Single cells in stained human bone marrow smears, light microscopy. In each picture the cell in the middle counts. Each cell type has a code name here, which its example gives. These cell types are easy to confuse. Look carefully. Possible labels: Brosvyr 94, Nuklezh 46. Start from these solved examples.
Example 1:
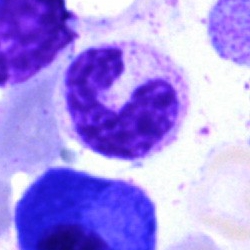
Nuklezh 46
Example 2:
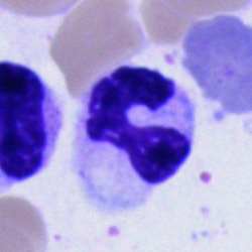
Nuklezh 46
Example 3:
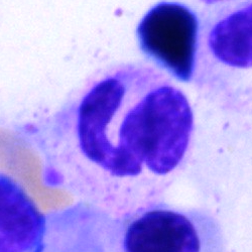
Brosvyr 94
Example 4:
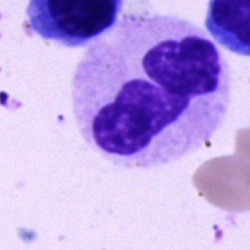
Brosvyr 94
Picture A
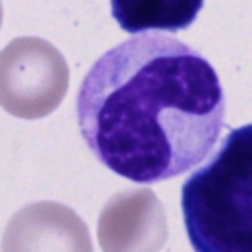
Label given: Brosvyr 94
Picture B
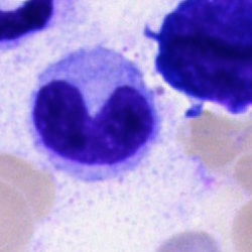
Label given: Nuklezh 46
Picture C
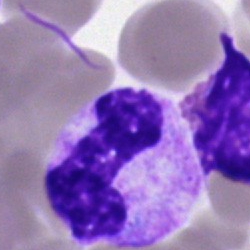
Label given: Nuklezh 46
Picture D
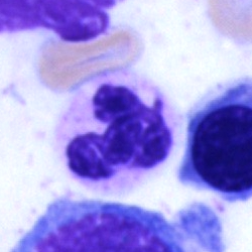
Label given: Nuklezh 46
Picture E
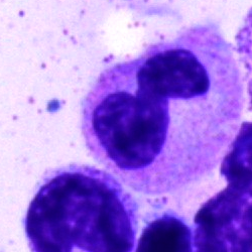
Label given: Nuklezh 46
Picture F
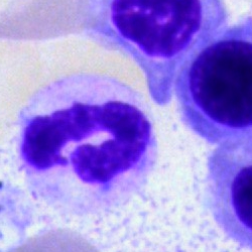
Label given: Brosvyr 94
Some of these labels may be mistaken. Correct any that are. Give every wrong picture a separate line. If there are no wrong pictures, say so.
Wrong: A (Brosvyr 94); correct: Nuklezh 46
Wrong: D (Nuklezh 46); correct: Brosvyr 94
